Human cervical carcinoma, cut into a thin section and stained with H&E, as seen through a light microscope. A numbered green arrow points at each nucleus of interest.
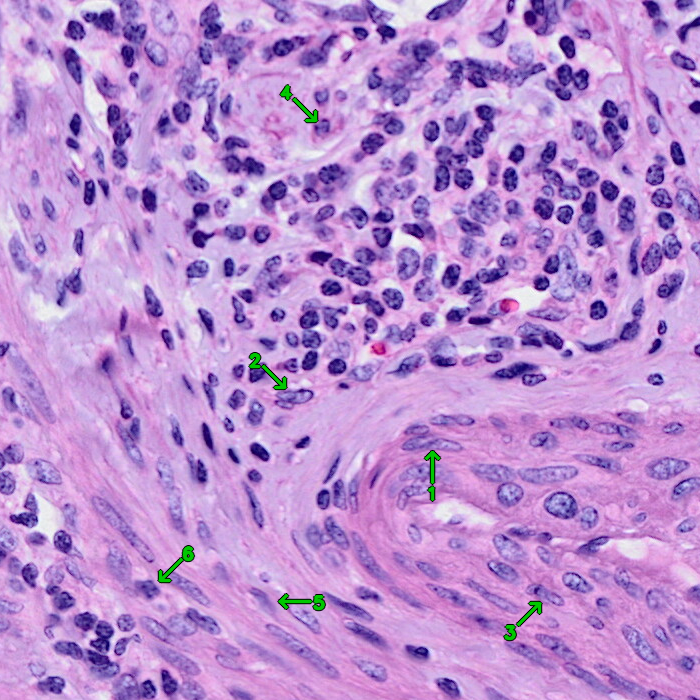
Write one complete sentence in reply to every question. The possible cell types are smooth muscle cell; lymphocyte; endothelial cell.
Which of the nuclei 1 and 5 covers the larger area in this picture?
It is nucleus 1, which covers about 2 times the area of nucleus 5.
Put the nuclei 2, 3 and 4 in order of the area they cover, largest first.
Going from the biggest nucleus down to the smallest gives 2, 3, 4.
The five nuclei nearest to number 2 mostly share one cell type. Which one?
Around number 2, most of the five nearest nuclei are those of lymphocytes.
